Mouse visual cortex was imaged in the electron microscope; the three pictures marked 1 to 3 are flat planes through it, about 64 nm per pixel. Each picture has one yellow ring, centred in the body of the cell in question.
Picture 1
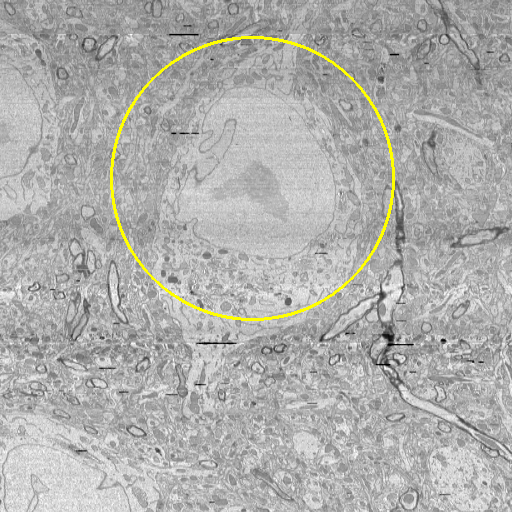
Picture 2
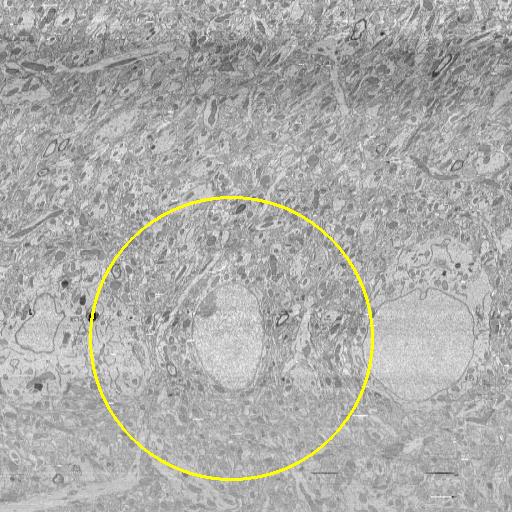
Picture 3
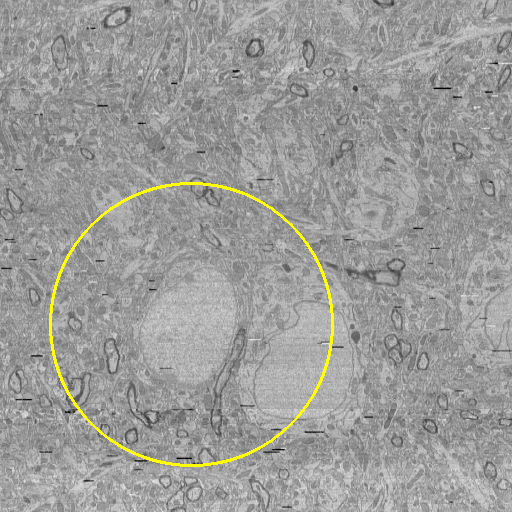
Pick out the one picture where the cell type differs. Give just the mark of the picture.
1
